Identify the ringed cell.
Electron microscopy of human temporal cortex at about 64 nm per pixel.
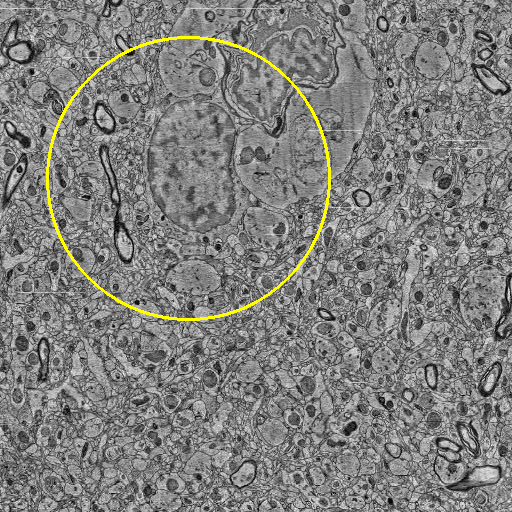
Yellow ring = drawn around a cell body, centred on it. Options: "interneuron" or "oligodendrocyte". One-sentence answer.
What the ring is centred on is an oligodendrocyte.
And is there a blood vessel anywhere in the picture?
Yes, there is a blood vessel.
